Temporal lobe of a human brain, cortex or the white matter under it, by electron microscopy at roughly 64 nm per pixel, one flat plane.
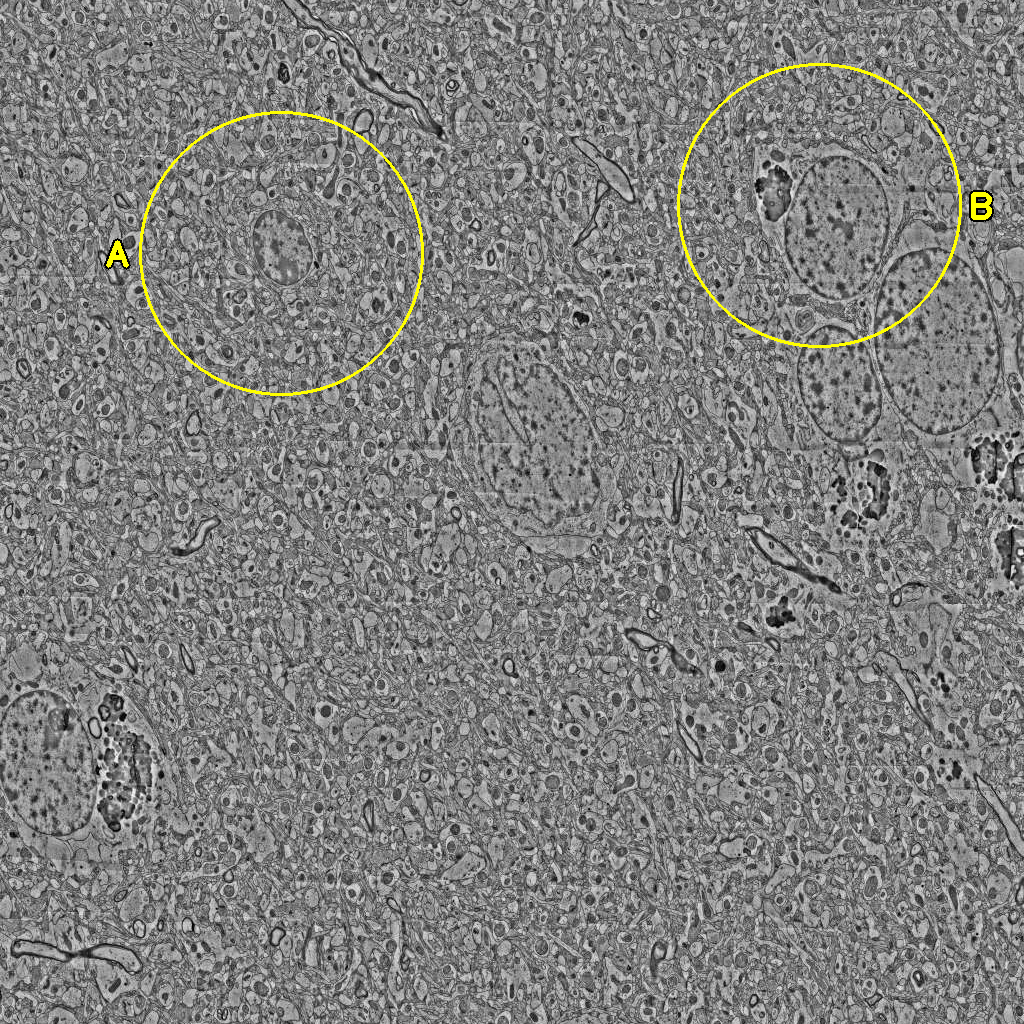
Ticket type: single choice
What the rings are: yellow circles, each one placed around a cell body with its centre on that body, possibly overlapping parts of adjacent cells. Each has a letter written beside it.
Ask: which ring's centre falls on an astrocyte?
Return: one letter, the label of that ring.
B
